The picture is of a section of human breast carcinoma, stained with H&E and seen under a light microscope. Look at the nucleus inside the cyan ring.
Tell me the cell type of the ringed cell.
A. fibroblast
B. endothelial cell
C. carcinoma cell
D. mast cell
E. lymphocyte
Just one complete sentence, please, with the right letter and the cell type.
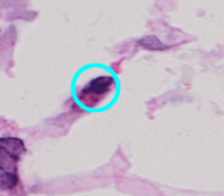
Of all the options, B is right, since the ringed cell is an endothelial cell.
